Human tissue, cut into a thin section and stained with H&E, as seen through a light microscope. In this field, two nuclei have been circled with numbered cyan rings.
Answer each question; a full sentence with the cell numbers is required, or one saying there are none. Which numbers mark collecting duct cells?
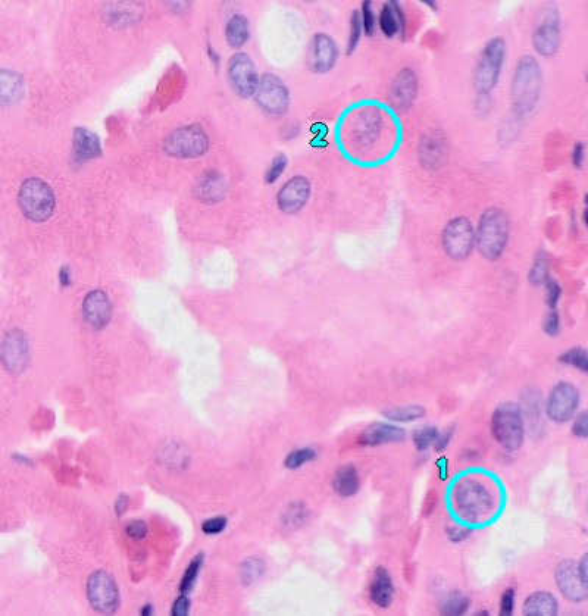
Among the numbered cells, the one that is a collecting duct cell is cell 1 alone.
